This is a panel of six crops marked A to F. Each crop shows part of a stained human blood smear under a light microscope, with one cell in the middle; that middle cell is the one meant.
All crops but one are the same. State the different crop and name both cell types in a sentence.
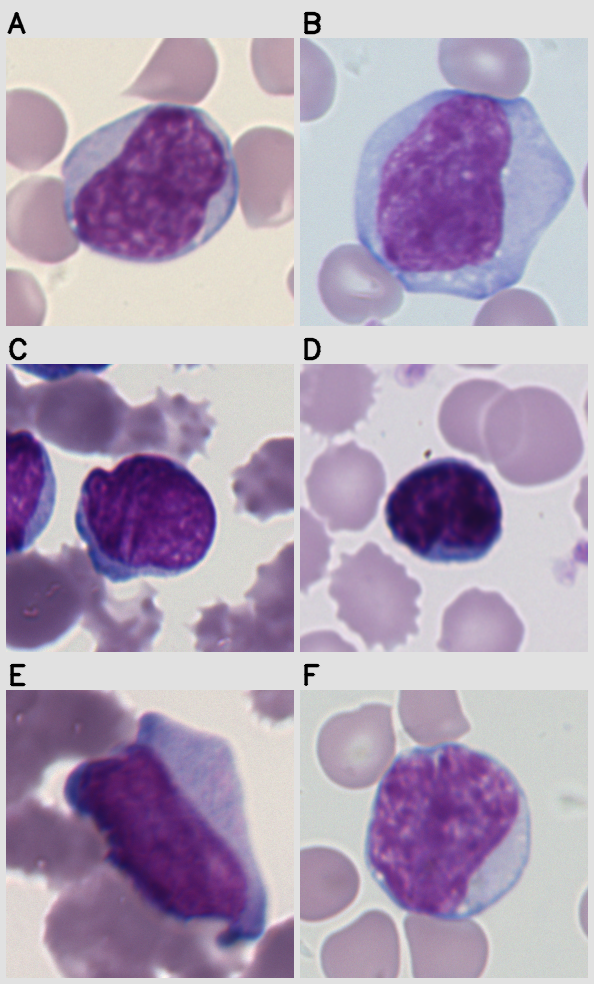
Crop D is the outlier, with a typical lymphocyte against myeloblasts in the rest.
